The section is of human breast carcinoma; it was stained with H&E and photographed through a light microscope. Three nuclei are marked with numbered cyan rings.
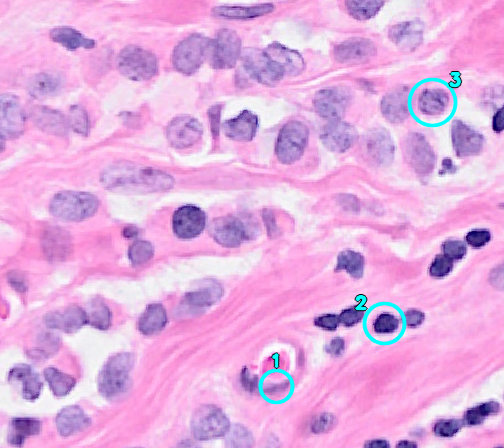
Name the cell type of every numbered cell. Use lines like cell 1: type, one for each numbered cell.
cell 1: endothelial cell
cell 2: lymphocyte
cell 3: carcinoma cell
